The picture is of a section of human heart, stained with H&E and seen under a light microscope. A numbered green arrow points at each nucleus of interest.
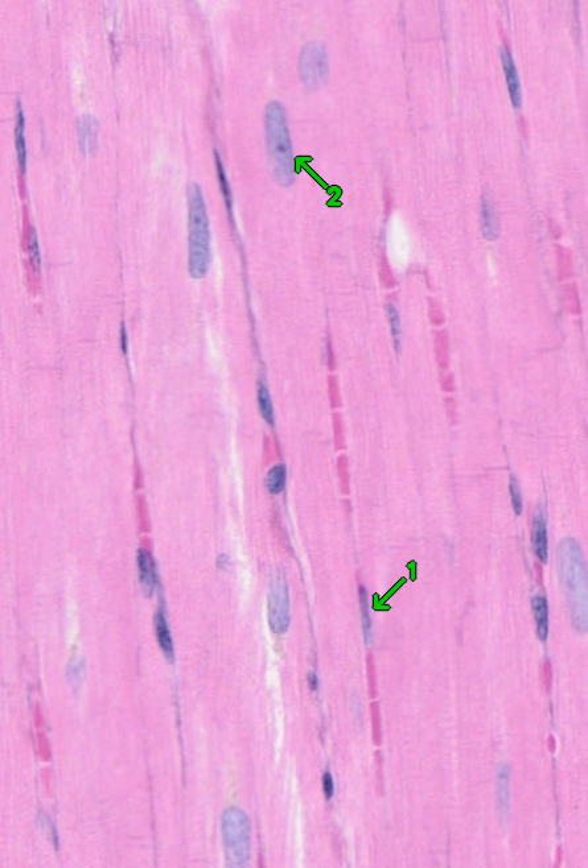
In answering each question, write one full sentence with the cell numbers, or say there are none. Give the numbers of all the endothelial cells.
Only cell 1 is an endothelial cell; none of the other numbered cells is.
